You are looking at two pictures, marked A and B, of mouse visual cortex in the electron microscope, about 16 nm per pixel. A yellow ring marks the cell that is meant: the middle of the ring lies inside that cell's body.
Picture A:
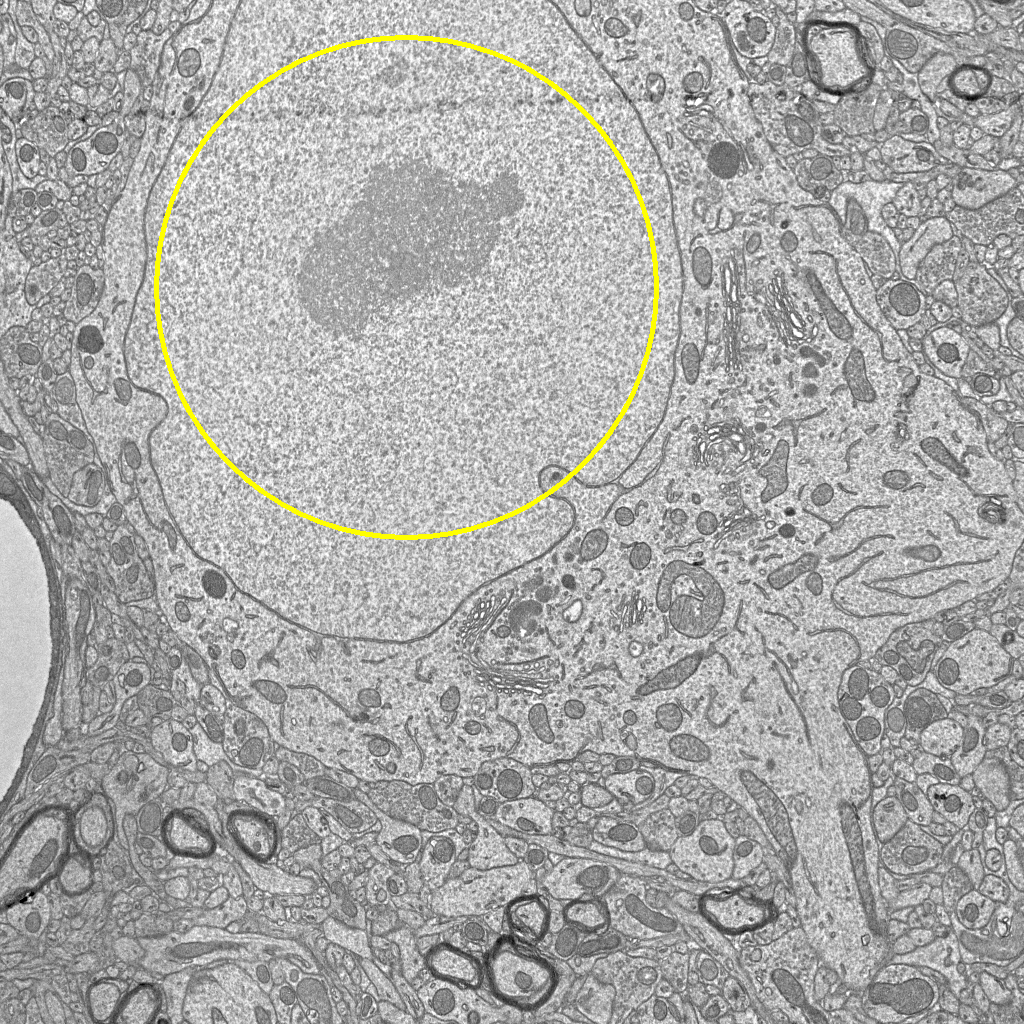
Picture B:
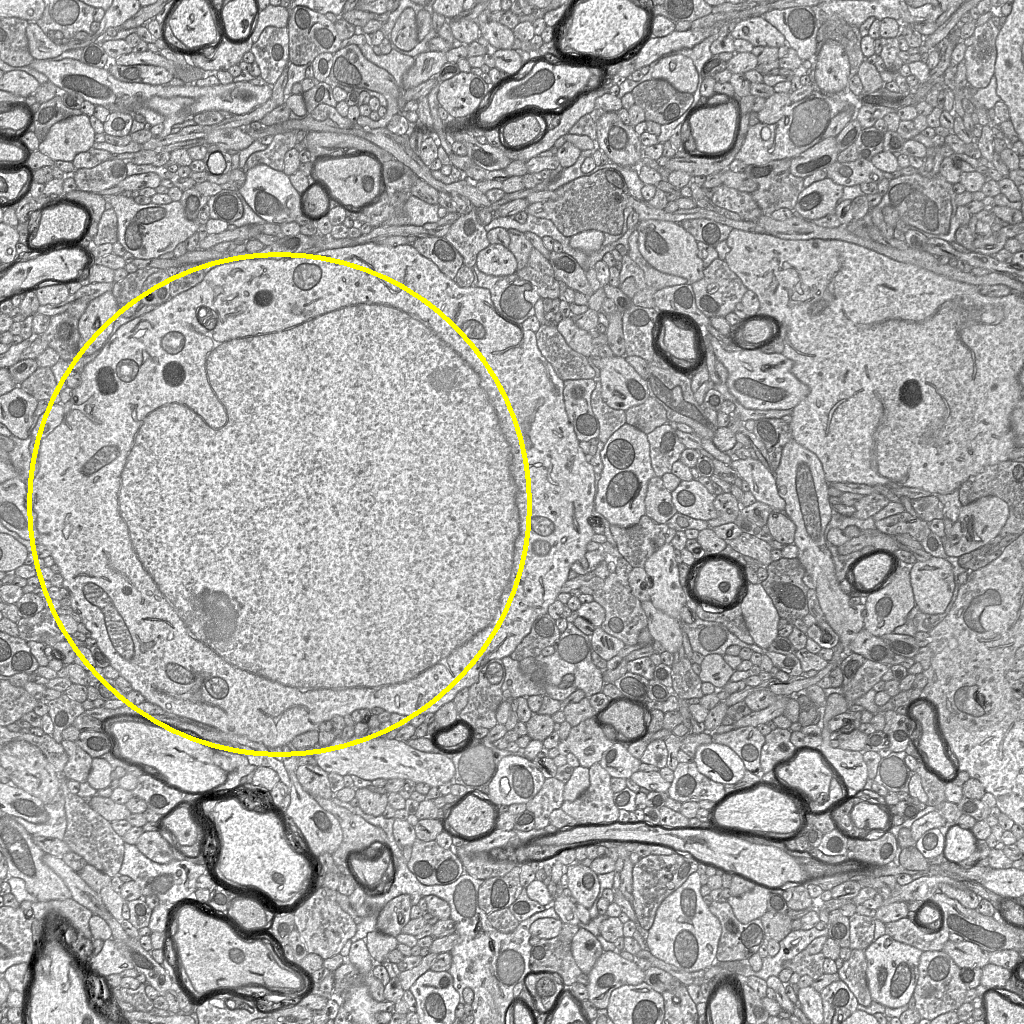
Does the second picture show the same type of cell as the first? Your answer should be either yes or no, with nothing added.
yes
